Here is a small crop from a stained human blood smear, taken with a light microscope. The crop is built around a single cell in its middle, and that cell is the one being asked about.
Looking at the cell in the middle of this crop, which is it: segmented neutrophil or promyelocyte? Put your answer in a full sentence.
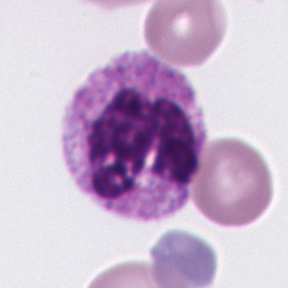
The cell positioned in the middle of the field is a segmented neutrophil.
